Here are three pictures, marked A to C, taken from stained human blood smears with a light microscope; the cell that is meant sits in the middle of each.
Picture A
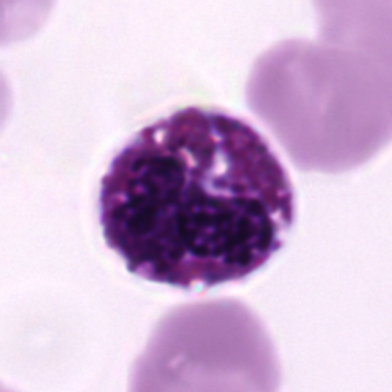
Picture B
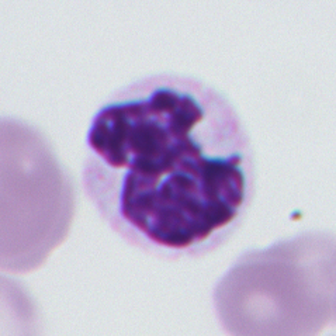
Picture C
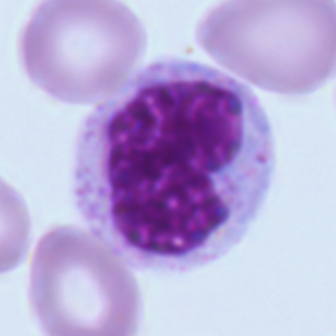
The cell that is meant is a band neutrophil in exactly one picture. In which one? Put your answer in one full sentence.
It is picture C that shows the band neutrophil.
